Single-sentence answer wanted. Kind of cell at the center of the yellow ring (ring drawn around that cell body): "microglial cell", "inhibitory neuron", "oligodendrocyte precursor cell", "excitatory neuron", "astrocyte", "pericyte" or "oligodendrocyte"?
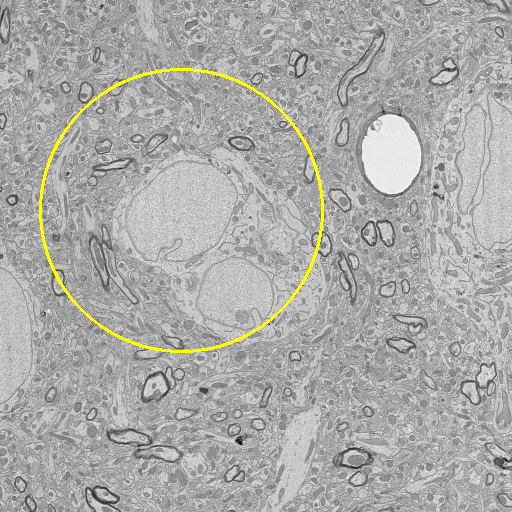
The cell centered in the ring is an inhibitory neuron.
